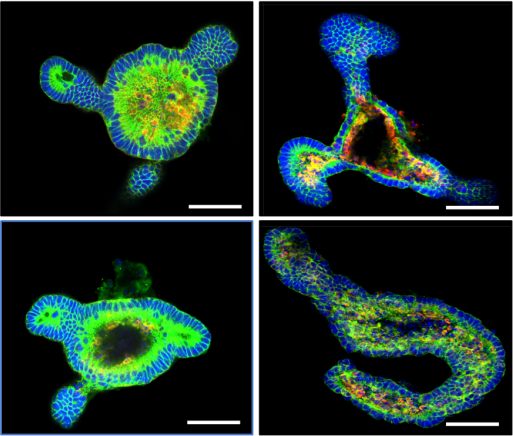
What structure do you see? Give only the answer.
enteroids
